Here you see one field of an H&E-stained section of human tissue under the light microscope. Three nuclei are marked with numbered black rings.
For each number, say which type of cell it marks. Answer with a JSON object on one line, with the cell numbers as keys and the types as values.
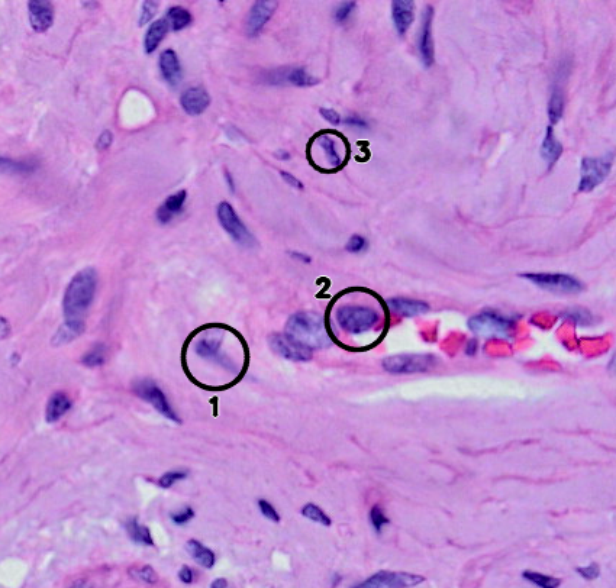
{"1": "fibroblast", "2": "endothelial cell", "3": "fibroblast"}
